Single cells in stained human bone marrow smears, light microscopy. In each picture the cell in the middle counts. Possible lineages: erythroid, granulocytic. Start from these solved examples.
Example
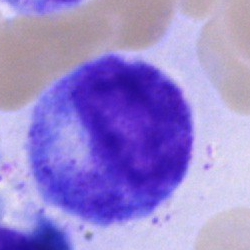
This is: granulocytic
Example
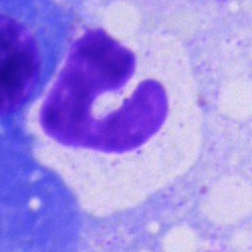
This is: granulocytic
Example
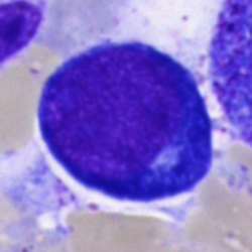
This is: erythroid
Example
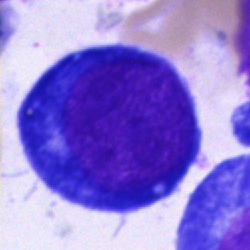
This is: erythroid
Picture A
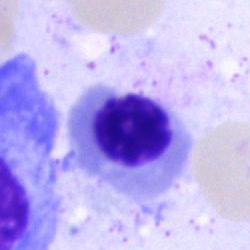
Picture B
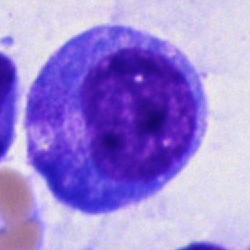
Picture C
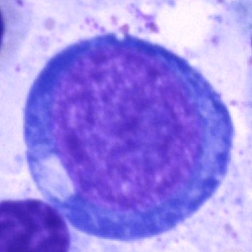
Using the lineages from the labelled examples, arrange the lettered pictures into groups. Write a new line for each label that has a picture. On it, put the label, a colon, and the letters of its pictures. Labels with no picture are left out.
erythroid: A, C
granulocytic: B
